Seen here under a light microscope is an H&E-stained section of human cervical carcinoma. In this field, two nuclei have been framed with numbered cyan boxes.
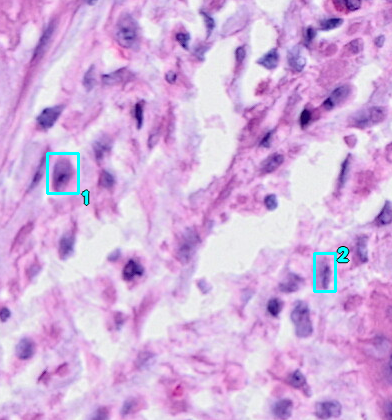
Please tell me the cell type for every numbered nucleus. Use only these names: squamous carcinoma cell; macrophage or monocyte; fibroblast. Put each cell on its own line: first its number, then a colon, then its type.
1: macrophage or monocyte
2: fibroblast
